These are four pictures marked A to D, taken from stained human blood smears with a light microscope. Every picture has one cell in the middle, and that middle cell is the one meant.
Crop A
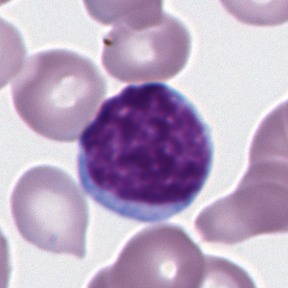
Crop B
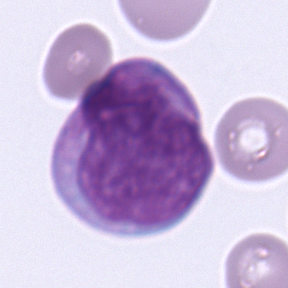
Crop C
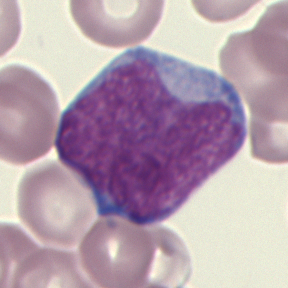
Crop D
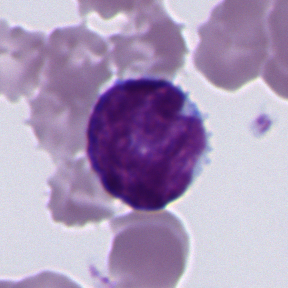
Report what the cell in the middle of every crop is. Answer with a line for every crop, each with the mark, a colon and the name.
A: myeloblast
B: atypical promyelocyte
C: myeloblast
D: typical lymphocyte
